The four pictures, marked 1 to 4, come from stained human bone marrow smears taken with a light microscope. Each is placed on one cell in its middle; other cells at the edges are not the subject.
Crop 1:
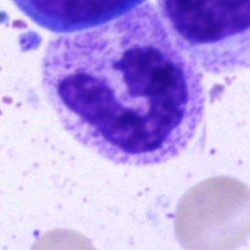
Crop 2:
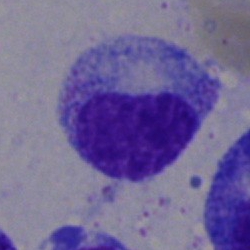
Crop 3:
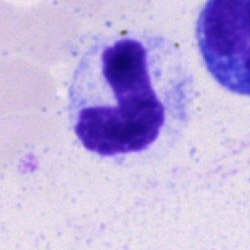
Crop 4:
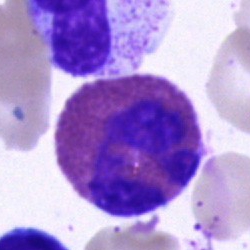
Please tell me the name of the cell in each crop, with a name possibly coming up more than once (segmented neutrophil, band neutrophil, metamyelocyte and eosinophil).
1: band neutrophil
2: metamyelocyte
3: band neutrophil
4: eosinophil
